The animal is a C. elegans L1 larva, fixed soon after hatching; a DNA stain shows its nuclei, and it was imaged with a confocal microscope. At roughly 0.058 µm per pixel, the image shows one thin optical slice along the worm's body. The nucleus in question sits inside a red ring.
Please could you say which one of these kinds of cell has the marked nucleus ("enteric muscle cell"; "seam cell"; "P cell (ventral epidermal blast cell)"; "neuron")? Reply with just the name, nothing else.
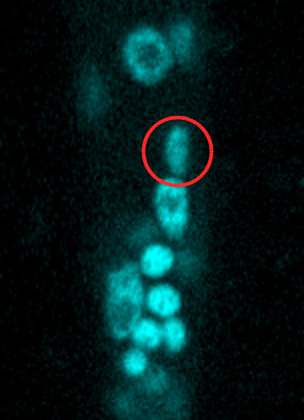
enteric muscle cell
